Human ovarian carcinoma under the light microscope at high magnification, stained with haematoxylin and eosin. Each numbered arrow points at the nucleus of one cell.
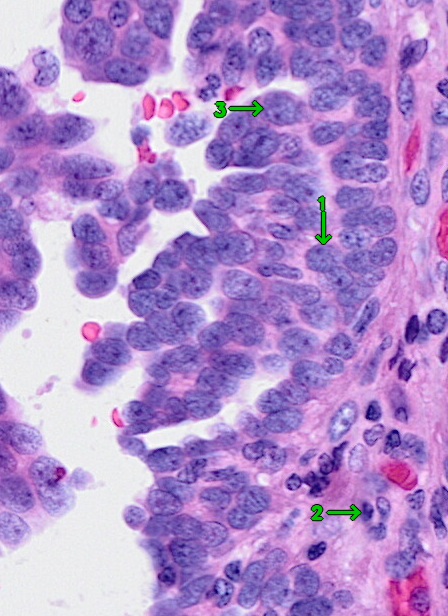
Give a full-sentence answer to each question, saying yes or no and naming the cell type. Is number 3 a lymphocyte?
No, the cell given number 3 is a carcinoma cell, as opposed to a lymphocyte.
